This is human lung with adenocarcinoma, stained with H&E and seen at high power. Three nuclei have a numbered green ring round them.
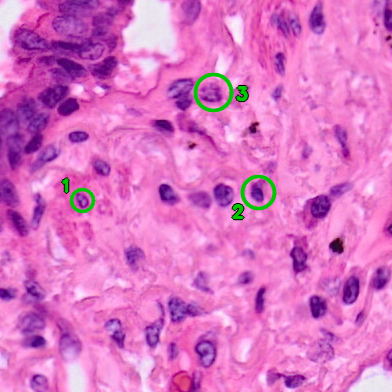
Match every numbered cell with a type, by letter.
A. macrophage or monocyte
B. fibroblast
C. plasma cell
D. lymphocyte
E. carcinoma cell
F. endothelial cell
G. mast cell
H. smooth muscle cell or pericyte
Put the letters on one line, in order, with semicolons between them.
H; D; G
